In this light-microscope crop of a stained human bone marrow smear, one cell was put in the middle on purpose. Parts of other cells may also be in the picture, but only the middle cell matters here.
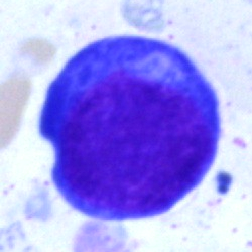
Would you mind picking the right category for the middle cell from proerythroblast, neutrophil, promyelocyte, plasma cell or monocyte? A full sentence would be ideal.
The central element of this crop is a cell, namely a proerythroblast.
